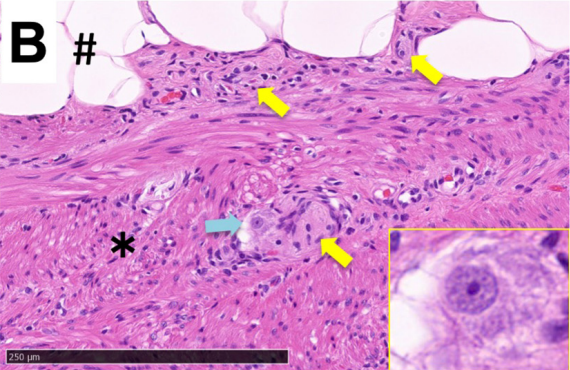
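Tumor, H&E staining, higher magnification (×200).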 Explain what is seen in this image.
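Within a small nerve bundle sits a ganglion cell, much larger than its neighbours, with plentiful pinkish-purple cytoplasm. Enlarged in the corner, its nucleus is round and pale with a single dark, prominent nucleolus, the typical look of a neuron's cell body. Small red blood cells appear in thin-walled vessels among the fibres.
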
